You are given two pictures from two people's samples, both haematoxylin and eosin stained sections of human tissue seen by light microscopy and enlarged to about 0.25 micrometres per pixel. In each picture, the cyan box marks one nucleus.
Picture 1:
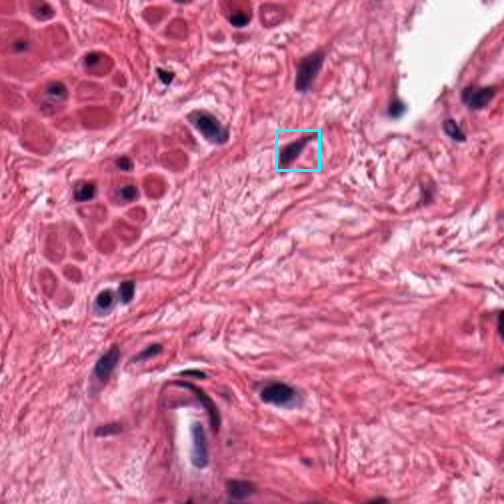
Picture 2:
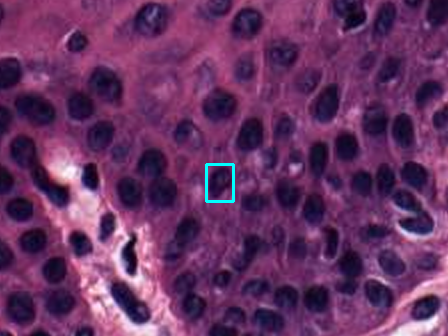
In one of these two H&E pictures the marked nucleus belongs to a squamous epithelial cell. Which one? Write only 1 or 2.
2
